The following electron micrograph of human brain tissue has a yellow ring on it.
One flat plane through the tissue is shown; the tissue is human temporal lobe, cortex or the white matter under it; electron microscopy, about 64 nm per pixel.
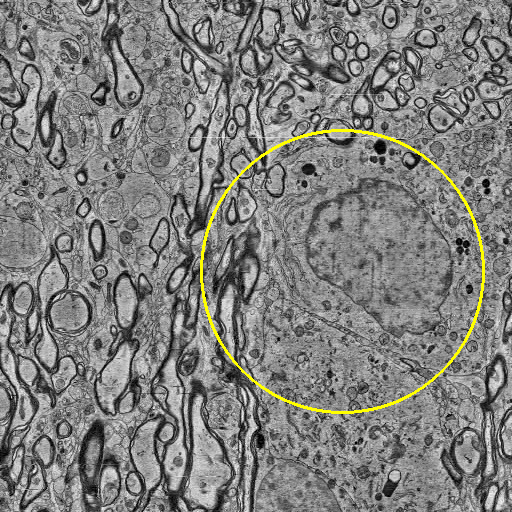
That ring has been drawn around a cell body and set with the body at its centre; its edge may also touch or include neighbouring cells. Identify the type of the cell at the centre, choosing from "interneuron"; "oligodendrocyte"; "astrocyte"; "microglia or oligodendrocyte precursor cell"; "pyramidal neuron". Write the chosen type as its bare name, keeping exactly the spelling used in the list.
interneuron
